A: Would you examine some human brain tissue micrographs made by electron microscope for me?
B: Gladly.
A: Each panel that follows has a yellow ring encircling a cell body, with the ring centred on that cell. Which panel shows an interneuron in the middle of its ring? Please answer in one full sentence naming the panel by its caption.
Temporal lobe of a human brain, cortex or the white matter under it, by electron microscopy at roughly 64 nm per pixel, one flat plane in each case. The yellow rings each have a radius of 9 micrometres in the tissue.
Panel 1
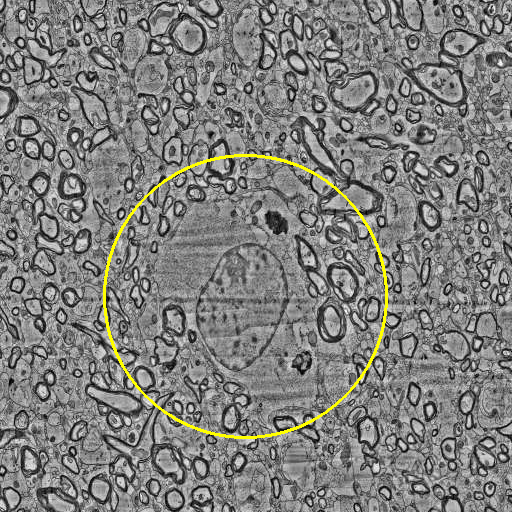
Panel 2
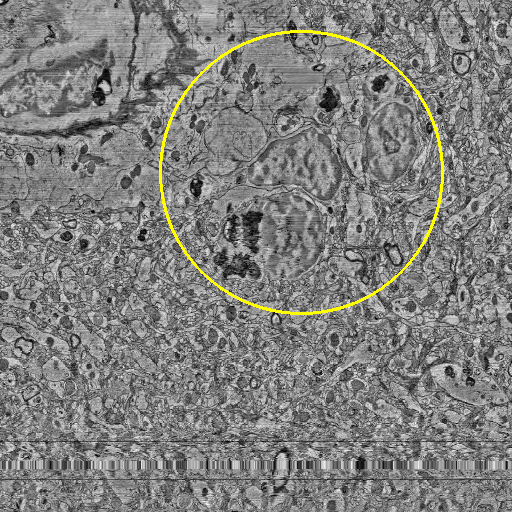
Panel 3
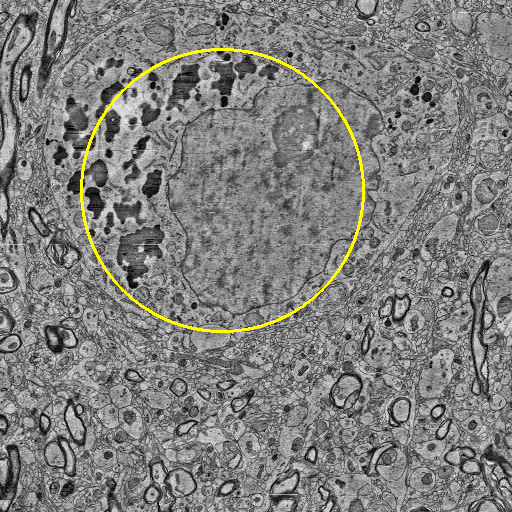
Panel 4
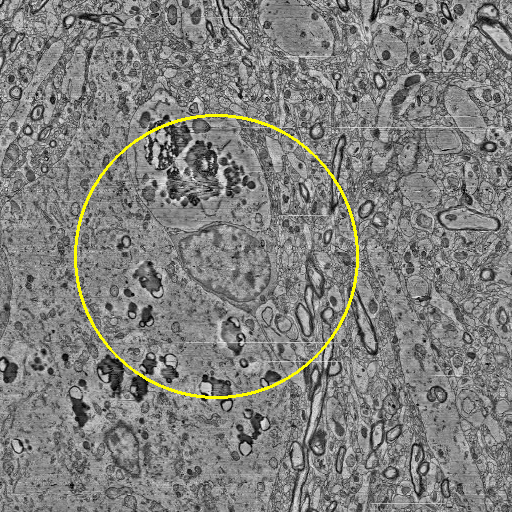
Panel 3 is where the ring sits centred on the requested cell.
